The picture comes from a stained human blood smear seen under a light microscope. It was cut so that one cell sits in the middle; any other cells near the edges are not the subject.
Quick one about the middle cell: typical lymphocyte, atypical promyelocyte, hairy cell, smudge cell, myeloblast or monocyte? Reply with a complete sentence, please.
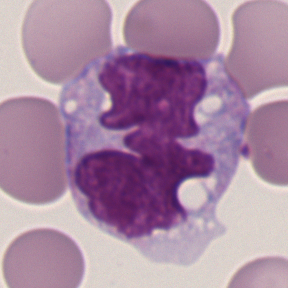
The cell at the central position in this crop is a monocyte.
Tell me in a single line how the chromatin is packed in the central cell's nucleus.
The chromatin remains finely textured, with no coarse clumps to speak of.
